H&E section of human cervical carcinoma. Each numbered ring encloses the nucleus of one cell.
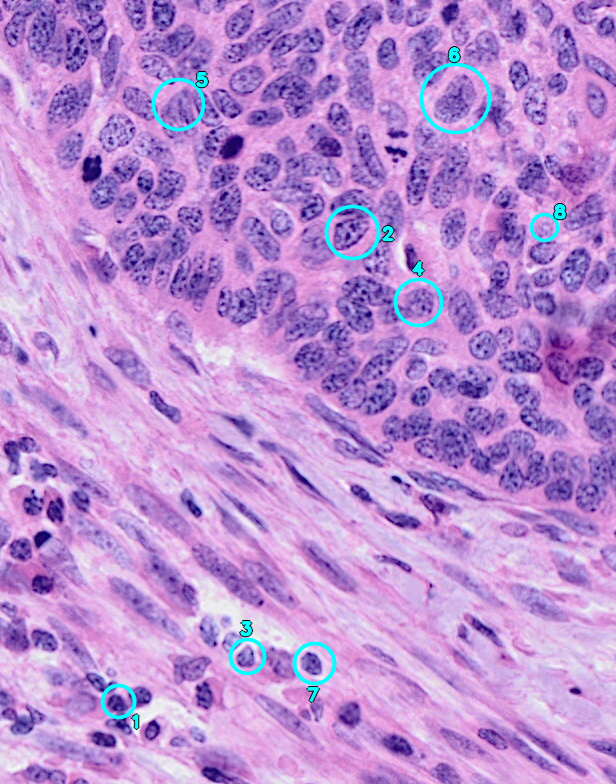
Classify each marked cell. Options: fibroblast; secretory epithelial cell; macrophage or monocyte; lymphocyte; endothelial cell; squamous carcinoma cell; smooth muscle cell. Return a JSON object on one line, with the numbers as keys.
{"1": "lymphocyte", "2": "squamous carcinoma cell", "3": "lymphocyte", "4": "squamous carcinoma cell", "5": "squamous carcinoma cell", "6": "squamous carcinoma cell", "7": "lymphocyte", "8": "squamous carcinoma cell"}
